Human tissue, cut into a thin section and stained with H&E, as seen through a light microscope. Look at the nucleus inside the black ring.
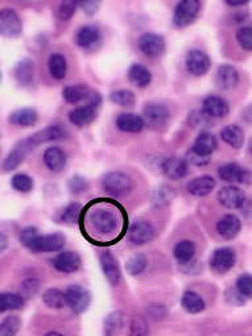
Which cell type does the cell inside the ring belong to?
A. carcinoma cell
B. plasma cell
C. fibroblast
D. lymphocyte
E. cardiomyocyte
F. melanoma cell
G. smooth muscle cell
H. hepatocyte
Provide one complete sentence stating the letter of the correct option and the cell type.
Best answer: option B, with the cell inside the ring being a plasma cell.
